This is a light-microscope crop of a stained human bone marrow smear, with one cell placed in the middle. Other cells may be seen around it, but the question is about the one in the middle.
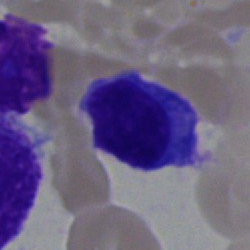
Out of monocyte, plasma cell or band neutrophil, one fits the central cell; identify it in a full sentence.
In the center of this field lies a plasma cell.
